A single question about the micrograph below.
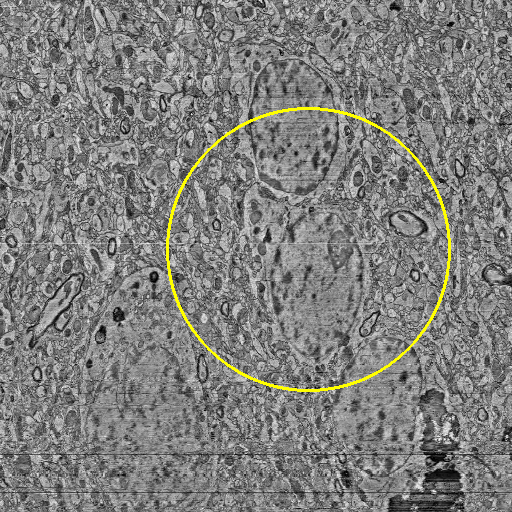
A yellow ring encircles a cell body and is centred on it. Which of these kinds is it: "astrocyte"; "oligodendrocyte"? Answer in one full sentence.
The cell body at the centre of the yellow ring belongs to an astrocyte.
